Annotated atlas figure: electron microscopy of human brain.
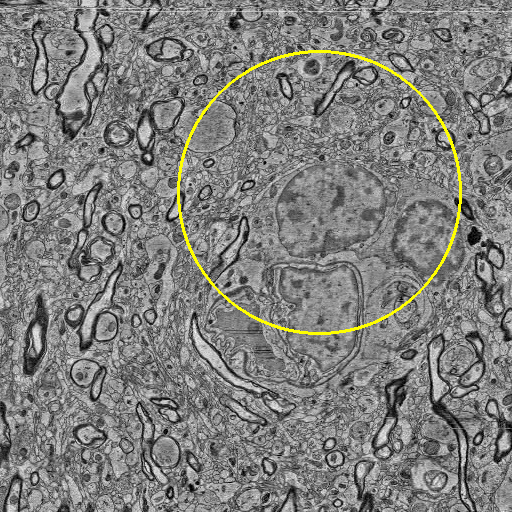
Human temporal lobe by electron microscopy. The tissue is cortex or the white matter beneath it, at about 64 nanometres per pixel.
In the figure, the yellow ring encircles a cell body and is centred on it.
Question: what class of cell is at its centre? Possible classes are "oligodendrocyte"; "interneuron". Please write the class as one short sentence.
The yellow ring is drawn around an oligodendrocyte.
